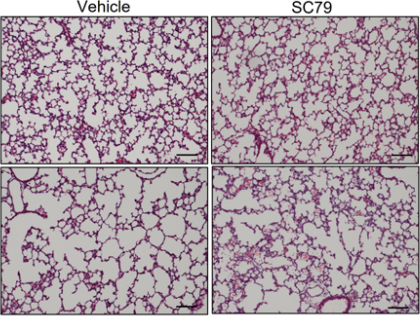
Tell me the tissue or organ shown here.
Lungs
